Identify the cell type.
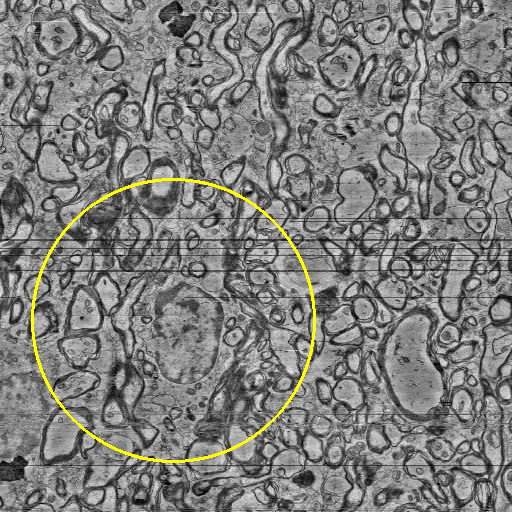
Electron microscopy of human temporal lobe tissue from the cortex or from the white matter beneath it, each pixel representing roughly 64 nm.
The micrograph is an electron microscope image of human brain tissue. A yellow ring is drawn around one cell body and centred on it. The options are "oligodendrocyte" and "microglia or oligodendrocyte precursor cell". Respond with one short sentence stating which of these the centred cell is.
The cell body in the ring belongs to a microglial cell or oligodendrocyte precursor cell.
